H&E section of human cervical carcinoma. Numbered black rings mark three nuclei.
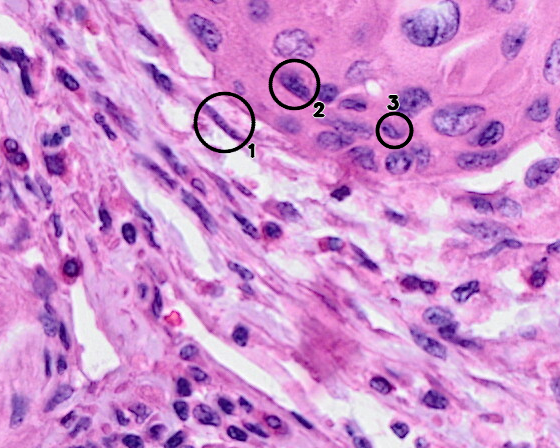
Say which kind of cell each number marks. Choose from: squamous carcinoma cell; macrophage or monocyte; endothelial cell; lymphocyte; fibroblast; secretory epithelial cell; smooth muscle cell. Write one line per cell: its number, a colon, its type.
1: fibroblast
2: squamous carcinoma cell
3: squamous carcinoma cell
